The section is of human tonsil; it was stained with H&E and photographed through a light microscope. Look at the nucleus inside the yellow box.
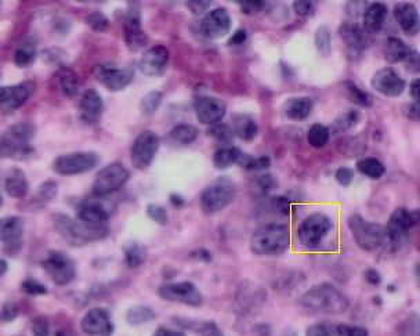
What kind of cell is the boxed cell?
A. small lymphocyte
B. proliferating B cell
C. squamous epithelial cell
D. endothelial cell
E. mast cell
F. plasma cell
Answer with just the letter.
B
